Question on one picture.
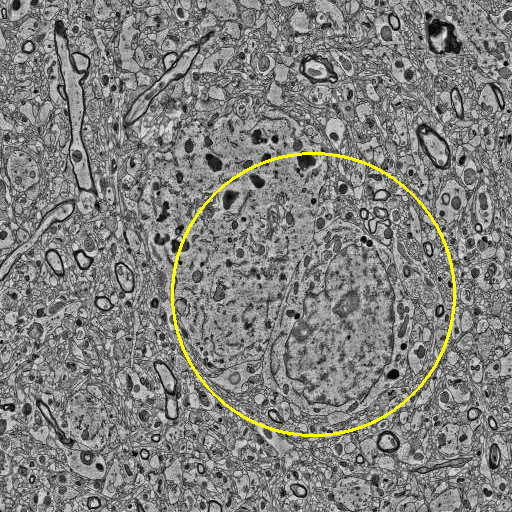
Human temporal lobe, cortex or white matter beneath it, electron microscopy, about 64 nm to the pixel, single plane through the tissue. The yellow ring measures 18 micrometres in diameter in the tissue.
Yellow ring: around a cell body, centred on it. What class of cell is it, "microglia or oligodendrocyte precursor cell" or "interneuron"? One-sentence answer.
This is an interneuron, the cell the ring is centred on.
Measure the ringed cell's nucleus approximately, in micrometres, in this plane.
About 9 by 7 micrometers for the nucleus, in this plane.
